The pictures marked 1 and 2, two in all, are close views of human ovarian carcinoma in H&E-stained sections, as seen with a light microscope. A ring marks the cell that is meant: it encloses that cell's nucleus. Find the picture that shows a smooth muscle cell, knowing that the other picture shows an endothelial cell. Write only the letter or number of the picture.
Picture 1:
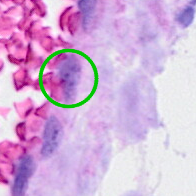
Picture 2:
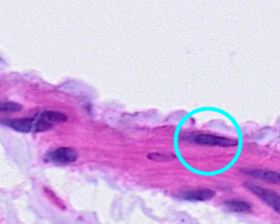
2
